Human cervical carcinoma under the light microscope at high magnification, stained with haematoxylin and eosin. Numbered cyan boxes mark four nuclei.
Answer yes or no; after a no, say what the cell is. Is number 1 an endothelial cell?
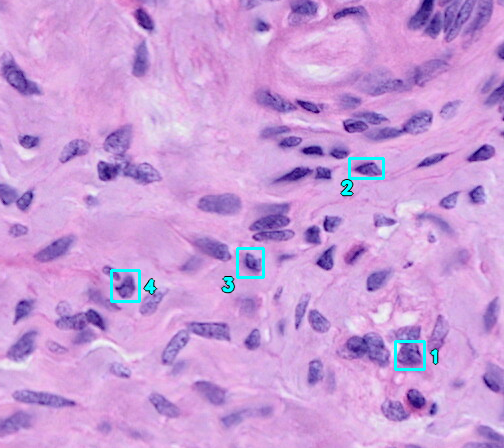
Yes.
